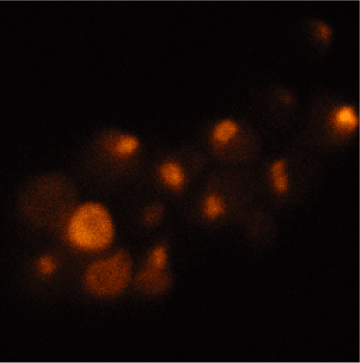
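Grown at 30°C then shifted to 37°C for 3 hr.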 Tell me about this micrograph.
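In many cells the signal is concentrated in a small, intensely bright spot, while the surrounding cell body is only faintly orange. A few cells instead show a more even orange fill across the whole cell.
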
